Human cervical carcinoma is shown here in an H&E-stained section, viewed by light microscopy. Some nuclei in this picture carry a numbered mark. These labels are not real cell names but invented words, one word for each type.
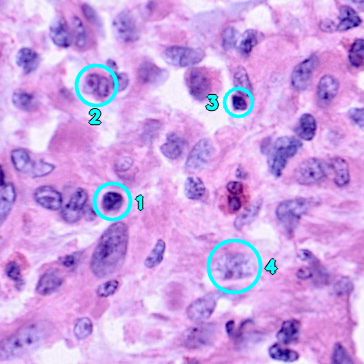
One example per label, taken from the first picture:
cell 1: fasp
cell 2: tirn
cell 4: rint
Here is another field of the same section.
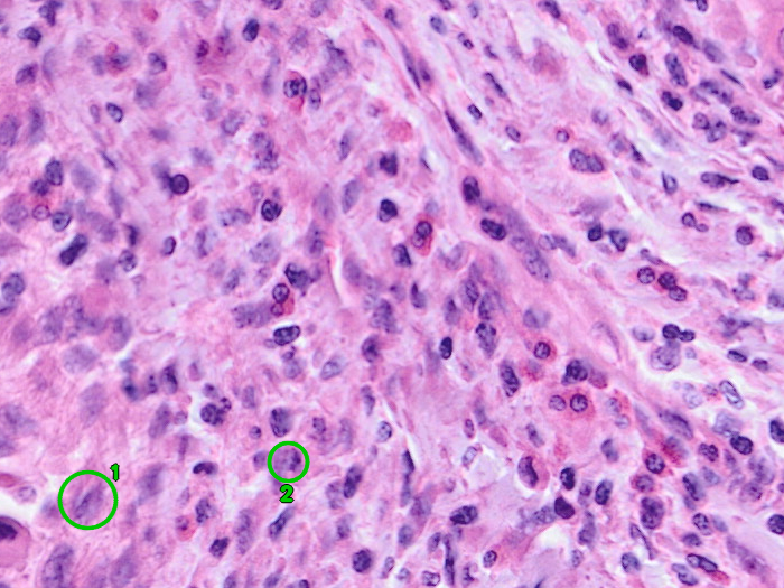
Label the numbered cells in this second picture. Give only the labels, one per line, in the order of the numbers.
rint
tirn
